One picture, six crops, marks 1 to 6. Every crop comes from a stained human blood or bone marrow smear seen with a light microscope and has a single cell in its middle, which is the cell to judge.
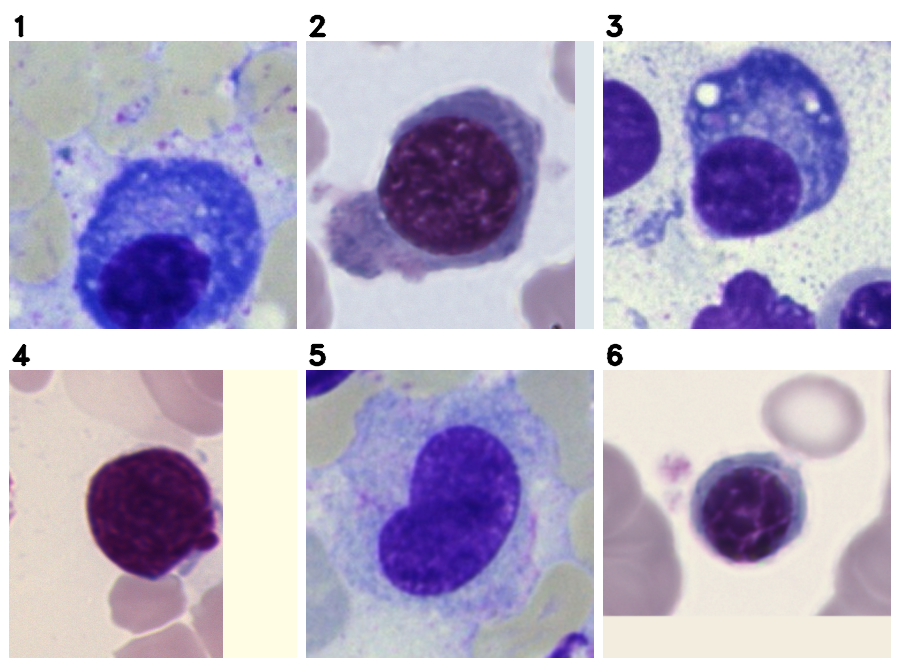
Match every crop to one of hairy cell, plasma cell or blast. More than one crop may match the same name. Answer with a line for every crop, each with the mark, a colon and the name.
1: plasma cell
2: plasma cell
3: plasma cell
4: blast
5: hairy cell
6: plasma cell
